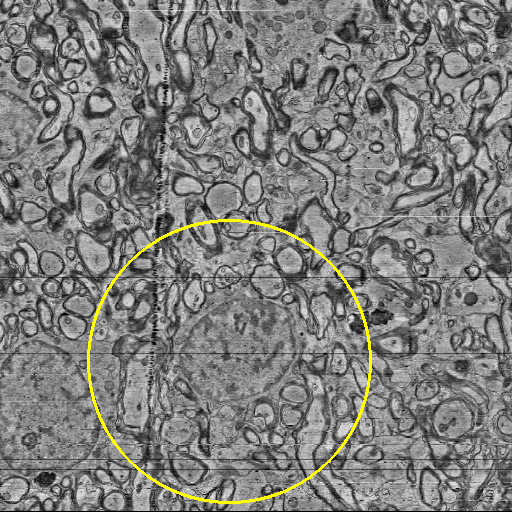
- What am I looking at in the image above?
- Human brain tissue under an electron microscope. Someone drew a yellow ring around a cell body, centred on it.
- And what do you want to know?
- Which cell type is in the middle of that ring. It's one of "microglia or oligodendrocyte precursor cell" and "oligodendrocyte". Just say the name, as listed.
oligodendrocyte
